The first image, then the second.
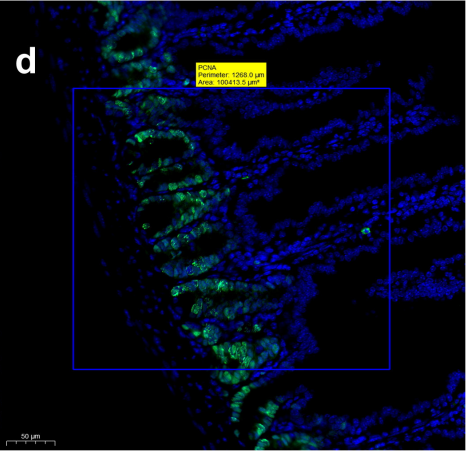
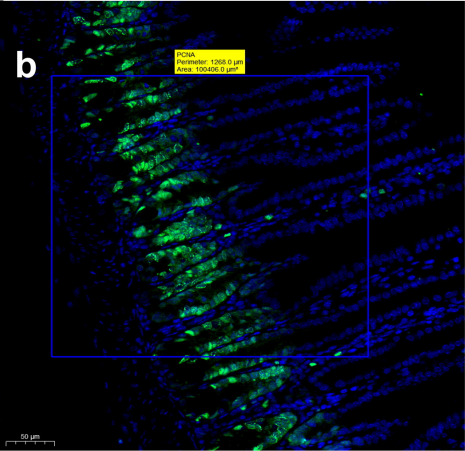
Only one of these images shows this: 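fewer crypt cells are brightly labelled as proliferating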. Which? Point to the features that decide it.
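First image: the crypt epithelium shows sparser, dimmer green labelling. Second image: the crypt band is densely packed with bright green nuclei.
Answer: the first image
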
